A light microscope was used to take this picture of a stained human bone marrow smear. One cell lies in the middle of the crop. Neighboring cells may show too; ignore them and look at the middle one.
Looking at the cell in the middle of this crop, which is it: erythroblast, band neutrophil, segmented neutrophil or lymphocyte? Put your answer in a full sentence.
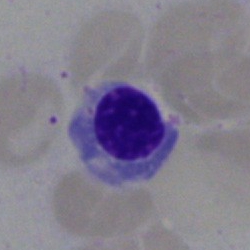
The cell at the middle of the crop is recognized as an erythroblast.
